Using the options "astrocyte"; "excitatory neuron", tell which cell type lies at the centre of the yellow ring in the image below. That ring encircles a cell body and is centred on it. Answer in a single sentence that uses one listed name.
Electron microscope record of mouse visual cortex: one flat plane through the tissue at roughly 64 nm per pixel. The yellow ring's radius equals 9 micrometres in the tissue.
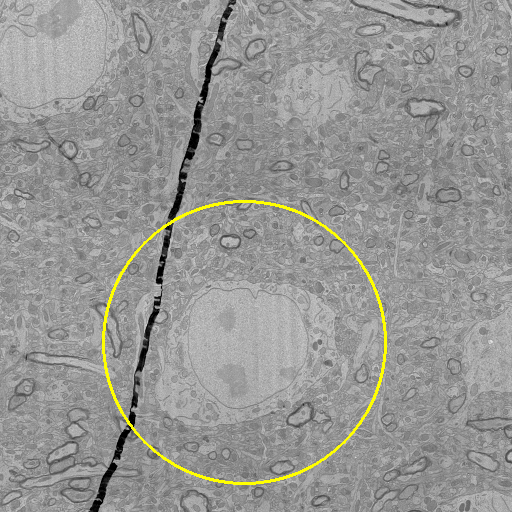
At the centre of the yellow ring lies the body of an excitatory neuron.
